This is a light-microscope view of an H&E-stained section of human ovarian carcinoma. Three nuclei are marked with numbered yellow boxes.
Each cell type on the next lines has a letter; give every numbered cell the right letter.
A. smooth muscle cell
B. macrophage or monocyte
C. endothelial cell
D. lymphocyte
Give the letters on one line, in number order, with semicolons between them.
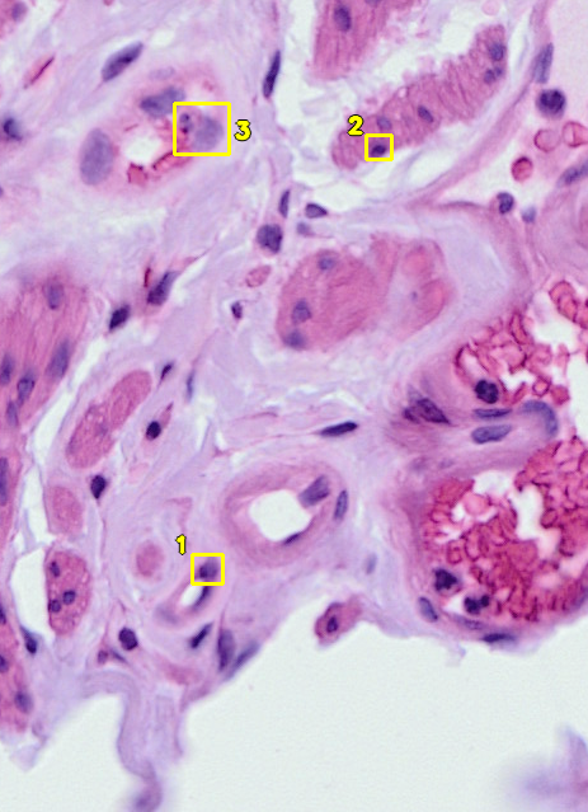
C; A; C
